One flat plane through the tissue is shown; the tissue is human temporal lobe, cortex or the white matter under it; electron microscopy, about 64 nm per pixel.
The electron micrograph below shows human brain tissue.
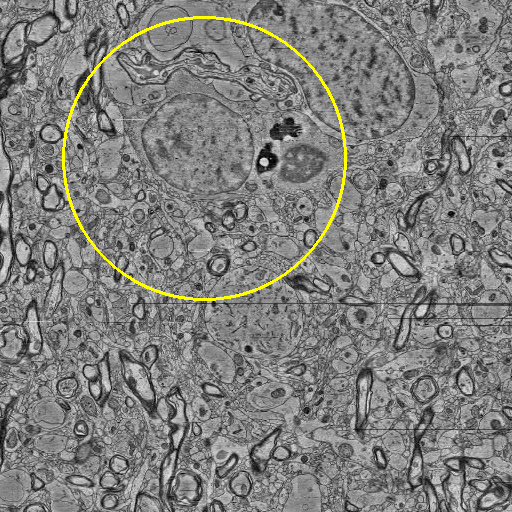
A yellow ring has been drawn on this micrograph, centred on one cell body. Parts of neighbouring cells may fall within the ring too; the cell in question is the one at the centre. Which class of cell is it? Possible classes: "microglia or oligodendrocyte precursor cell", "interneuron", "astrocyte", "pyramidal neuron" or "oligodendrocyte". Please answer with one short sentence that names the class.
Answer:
In the centre of the ring sits an oligodendrocyte.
